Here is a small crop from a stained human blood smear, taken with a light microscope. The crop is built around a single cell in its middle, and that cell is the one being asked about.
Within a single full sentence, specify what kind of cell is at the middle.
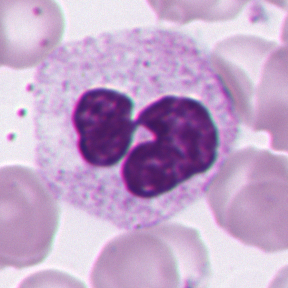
The cell under consideration, at the middle of the crop, is a segmented neutrophil.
